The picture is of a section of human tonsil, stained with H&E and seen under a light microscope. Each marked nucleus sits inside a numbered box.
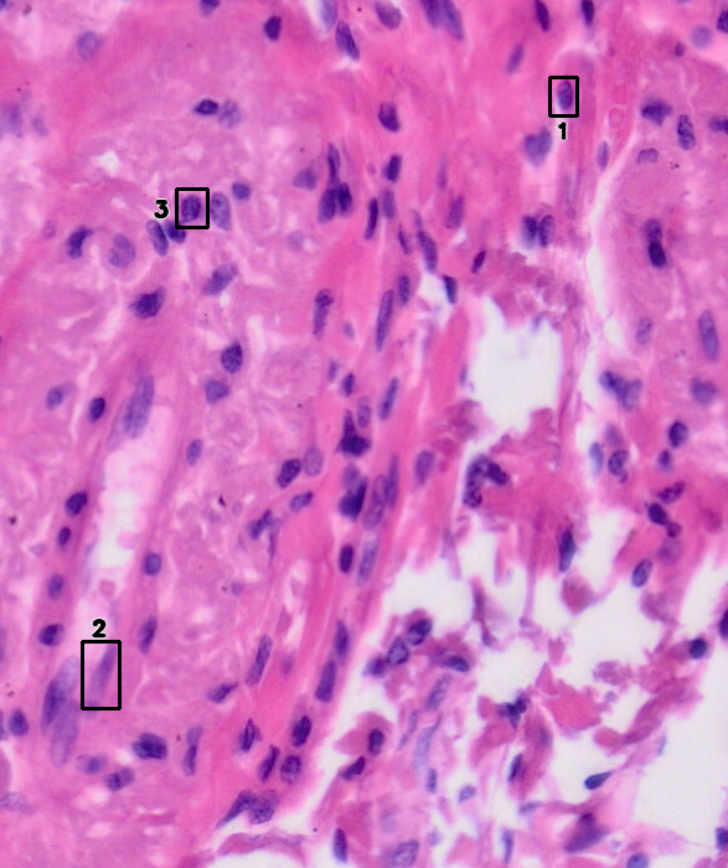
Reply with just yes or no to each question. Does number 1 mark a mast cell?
yes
